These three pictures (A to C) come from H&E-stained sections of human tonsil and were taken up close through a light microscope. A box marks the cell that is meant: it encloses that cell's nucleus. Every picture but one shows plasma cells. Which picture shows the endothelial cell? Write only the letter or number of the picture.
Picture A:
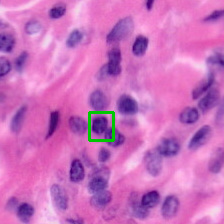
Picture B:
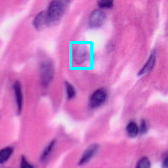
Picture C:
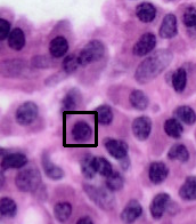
B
